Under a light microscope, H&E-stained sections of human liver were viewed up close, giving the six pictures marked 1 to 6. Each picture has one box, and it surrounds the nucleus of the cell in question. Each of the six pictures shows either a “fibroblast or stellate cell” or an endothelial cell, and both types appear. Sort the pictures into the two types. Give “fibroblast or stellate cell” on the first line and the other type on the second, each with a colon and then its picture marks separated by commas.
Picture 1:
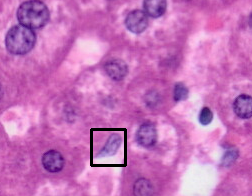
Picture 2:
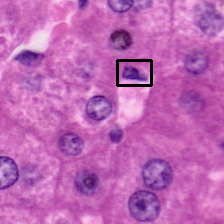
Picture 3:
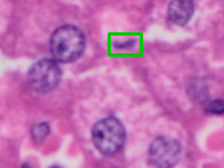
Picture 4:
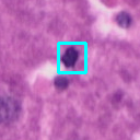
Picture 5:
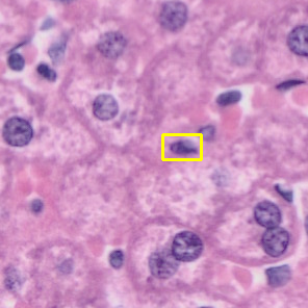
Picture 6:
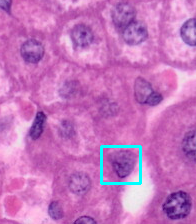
fibroblast or stellate cell: 4, 5
endothelial cell: 1, 2, 3, 6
